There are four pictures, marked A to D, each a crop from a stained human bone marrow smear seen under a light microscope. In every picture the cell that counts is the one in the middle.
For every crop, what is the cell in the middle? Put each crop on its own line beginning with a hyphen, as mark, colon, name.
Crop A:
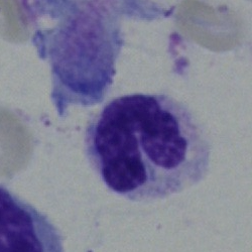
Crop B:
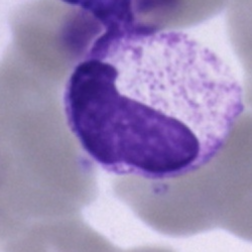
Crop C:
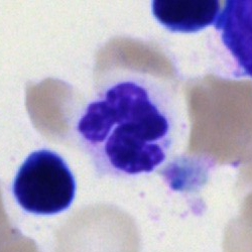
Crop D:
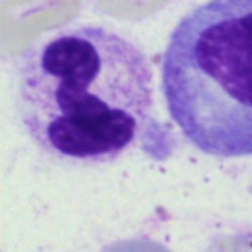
- A: band neutrophil
- B: band neutrophil
- C: segmented neutrophil
- D: segmented neutrophil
